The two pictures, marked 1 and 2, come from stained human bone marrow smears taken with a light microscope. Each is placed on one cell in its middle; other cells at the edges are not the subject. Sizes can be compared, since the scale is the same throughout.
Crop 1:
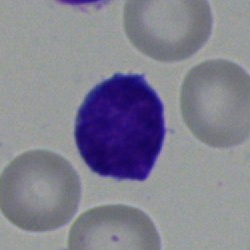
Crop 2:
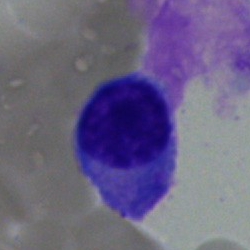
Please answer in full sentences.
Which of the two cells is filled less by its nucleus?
The nucleus fills less of the cell in crop 2 than in crop 1.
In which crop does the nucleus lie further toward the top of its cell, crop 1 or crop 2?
Seen within its cell, the nucleus in crop 2 lies further toward the top.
